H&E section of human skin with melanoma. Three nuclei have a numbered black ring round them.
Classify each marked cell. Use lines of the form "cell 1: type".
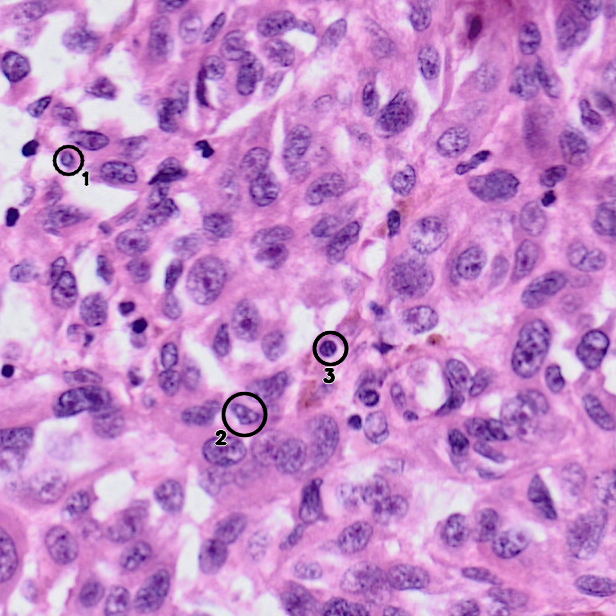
cell 1: lymphocyte
cell 2: melanoma cell
cell 3: lymphocyte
